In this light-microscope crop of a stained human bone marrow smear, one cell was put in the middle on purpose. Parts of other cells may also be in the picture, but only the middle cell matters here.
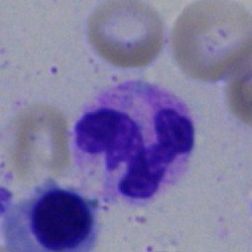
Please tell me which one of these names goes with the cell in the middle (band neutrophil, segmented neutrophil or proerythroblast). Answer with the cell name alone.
segmented neutrophil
